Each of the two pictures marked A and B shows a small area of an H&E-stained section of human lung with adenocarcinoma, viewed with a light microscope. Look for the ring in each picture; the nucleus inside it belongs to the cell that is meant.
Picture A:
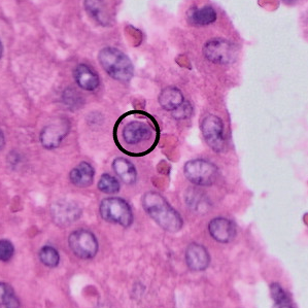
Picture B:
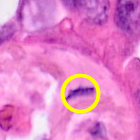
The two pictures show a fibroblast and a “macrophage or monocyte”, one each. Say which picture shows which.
A: macrophage or monocyte
B: fibroblast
